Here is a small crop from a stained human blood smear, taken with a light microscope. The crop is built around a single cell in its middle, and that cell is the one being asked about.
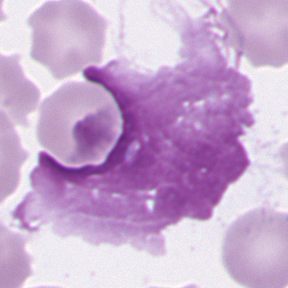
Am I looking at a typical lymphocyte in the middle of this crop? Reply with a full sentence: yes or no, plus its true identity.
No, the central cell is not to be called a typical lymphocyte, being a smudge cell.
